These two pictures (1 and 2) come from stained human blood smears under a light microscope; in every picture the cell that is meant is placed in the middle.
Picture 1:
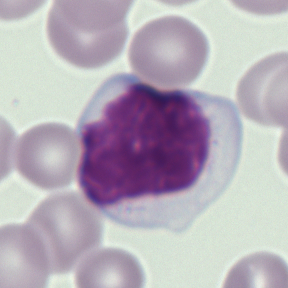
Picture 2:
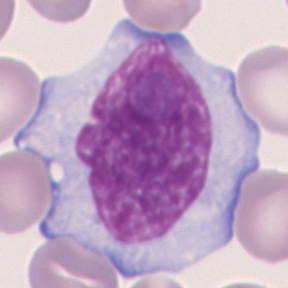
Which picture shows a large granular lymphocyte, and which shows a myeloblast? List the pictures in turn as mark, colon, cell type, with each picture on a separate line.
1: large granular lymphocyte
2: myeloblast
